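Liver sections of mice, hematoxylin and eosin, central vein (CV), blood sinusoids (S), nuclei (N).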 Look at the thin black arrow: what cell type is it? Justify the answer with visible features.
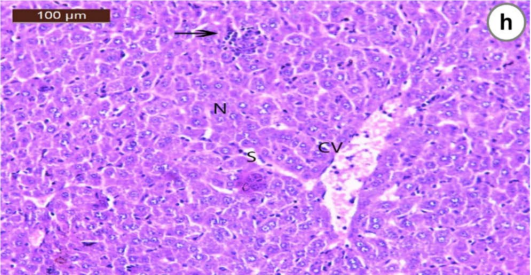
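A small group of small, dark-staining nuclei near the top of the field. They are much smaller than the surrounding nuclei.
Inflammatory cells.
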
